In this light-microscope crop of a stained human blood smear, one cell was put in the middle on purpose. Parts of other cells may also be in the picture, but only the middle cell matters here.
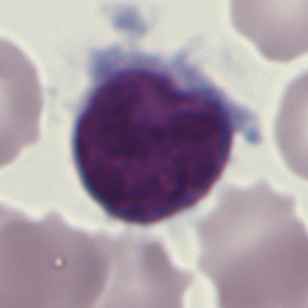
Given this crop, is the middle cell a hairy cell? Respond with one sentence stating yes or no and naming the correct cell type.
Yes, the cell positioned at the centre of the crop is a hairy cell.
